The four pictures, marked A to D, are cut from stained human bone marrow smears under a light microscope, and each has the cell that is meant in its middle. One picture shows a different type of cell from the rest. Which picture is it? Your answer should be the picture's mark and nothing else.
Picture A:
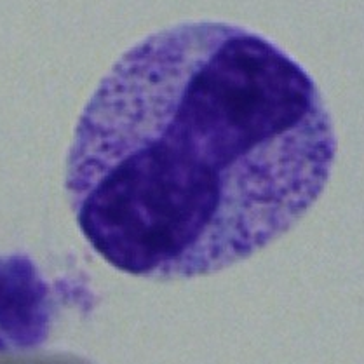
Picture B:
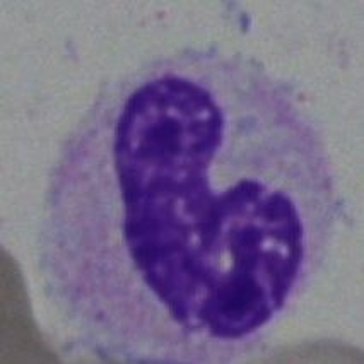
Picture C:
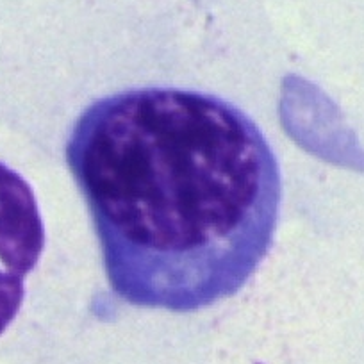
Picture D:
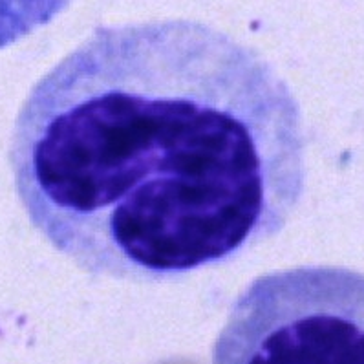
C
